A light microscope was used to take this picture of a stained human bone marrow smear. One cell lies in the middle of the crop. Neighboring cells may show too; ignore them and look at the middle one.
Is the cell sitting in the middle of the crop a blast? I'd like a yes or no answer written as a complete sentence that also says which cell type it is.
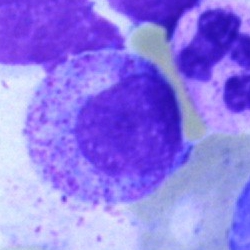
No, in the middle of the crop there is a myelocyte rather than a blast.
